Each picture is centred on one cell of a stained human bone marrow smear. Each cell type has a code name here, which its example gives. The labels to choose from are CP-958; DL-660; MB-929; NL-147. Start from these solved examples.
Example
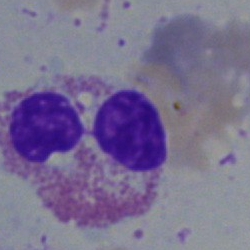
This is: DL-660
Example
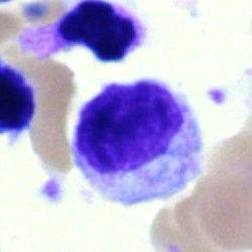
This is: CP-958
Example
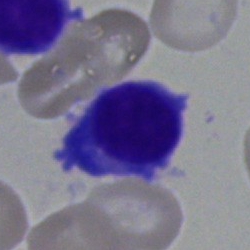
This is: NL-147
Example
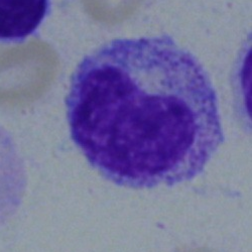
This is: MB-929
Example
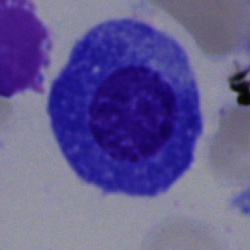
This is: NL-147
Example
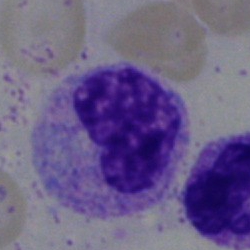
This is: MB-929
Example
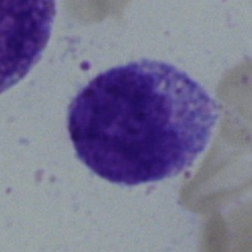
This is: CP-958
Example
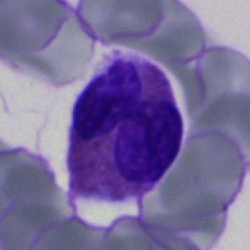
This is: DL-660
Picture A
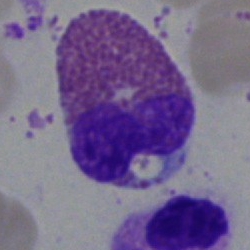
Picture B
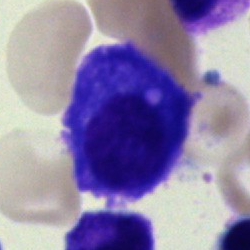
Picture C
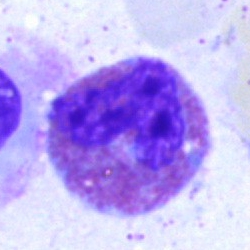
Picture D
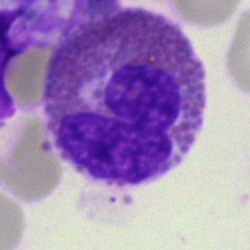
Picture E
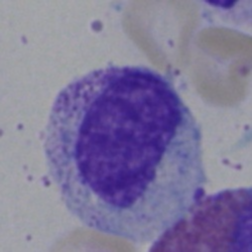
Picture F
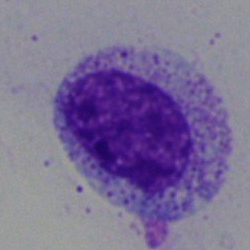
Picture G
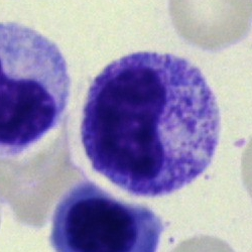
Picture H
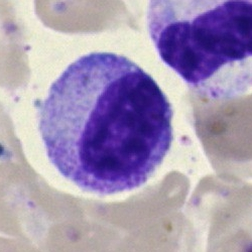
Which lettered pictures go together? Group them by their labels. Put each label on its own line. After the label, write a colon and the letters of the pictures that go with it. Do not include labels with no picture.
CP-958: H
DL-660: A, C, D
MB-929: E, F, G
NL-147: B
